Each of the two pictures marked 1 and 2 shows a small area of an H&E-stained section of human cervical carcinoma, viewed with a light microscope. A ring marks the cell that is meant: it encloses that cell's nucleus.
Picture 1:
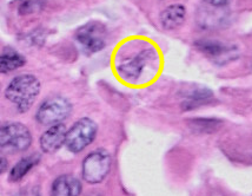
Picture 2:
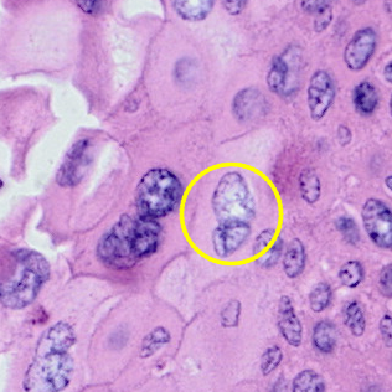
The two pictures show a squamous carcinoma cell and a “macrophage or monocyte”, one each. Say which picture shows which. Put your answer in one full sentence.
The cell in picture 1 is a “macrophage or monocyte”, and the one in picture 2 is a squamous carcinoma cell.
